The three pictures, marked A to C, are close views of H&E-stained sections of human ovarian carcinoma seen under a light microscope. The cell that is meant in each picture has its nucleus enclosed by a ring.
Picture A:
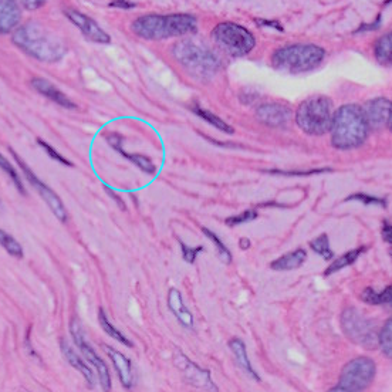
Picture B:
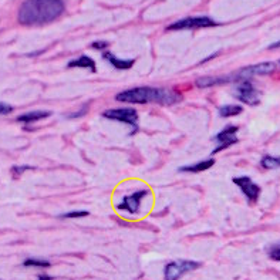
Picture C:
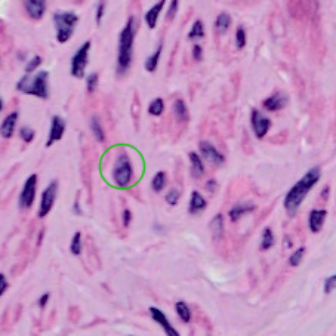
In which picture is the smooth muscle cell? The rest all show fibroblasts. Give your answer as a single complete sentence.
Picture C is the one that shows the smooth muscle cell.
